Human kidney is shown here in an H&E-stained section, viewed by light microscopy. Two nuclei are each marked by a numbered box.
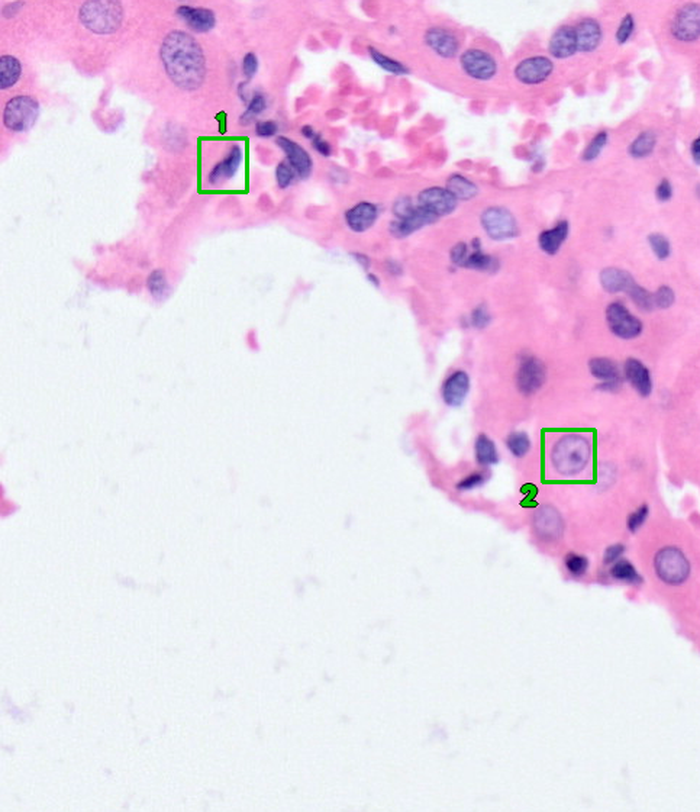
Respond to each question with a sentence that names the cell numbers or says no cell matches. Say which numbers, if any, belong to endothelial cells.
Exactly one numbered cell is an endothelial cell, and that cell is number 1.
